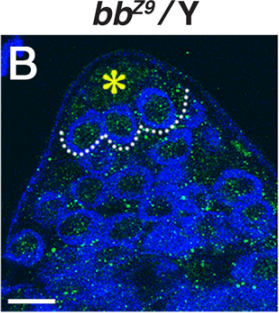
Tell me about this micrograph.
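This is the apical tip of a testis showing the hub at the tip, a ring of germline stem cells closely applied to it, and many spermatogonia filling the rest of the field. Germ cells appear as rounded profiles with blue cytoplasmic rings around darker nuclei, and they are crowded side by side. The hub lacks blue rings. Green is seen only as fine scattered dots; neither the stem cells along the hub nor the more distant germ cells contain large bright green nuclear patches.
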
